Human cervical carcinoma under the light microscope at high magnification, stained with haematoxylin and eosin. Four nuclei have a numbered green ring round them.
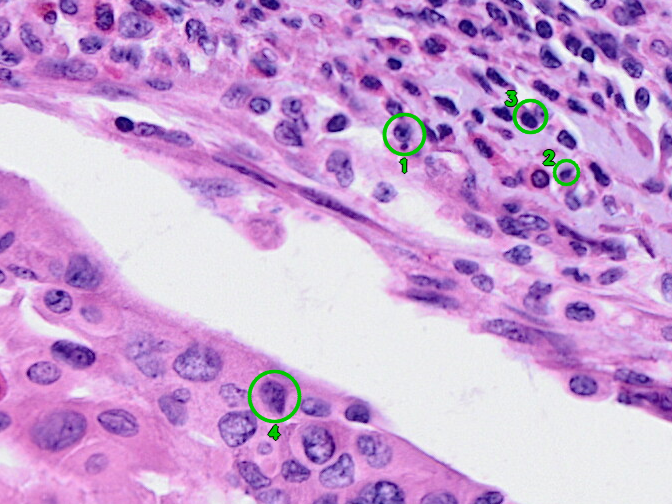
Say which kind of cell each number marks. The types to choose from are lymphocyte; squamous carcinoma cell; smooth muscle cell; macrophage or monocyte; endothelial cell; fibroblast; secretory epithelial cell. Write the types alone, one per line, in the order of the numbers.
lymphocyte
lymphocyte
lymphocyte
squamous carcinoma cell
